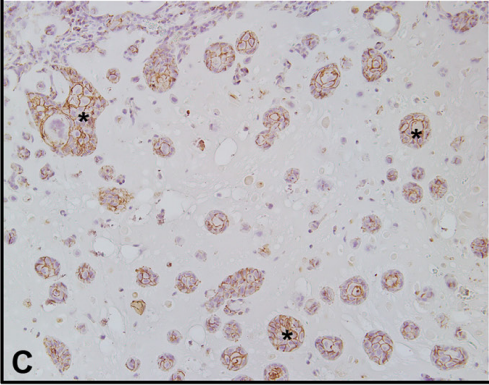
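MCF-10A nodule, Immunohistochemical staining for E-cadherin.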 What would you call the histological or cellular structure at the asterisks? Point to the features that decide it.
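Epithelial nests. Rounded clusters of cells with brown outlines around each cell. The clusters are scattered in an unstained matrix.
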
